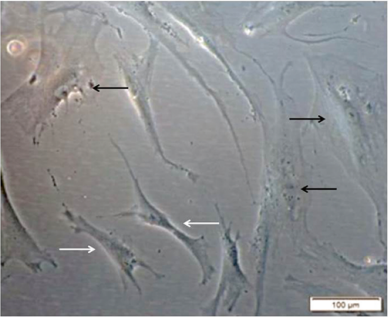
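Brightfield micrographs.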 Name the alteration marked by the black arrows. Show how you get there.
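Their outlines cover wide areas of the dish.
Hence: larger and spread across the surface.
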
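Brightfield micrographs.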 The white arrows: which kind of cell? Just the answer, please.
fibroblastic cells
